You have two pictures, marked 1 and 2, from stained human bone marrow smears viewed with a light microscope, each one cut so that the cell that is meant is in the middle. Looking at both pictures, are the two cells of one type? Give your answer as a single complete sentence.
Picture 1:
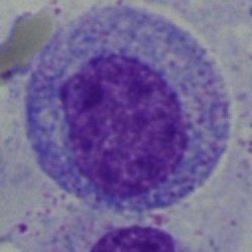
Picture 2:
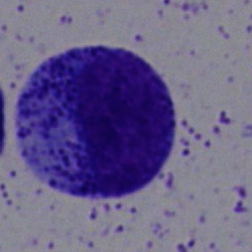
Yes, both are promyelocytes.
